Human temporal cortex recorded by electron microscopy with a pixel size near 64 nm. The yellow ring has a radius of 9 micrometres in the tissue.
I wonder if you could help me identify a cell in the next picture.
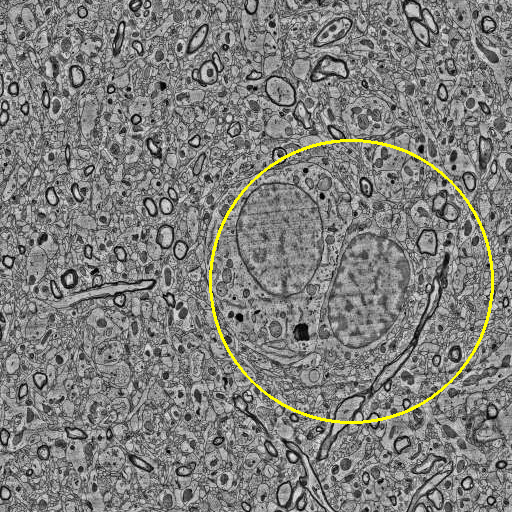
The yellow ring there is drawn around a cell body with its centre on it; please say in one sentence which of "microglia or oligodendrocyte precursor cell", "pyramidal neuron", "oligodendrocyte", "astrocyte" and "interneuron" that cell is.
The yellow ring is centred on an oligodendrocyte.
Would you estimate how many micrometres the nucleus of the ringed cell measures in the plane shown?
In this plane, the nucleus is roughly 7 by 6 micrometres.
